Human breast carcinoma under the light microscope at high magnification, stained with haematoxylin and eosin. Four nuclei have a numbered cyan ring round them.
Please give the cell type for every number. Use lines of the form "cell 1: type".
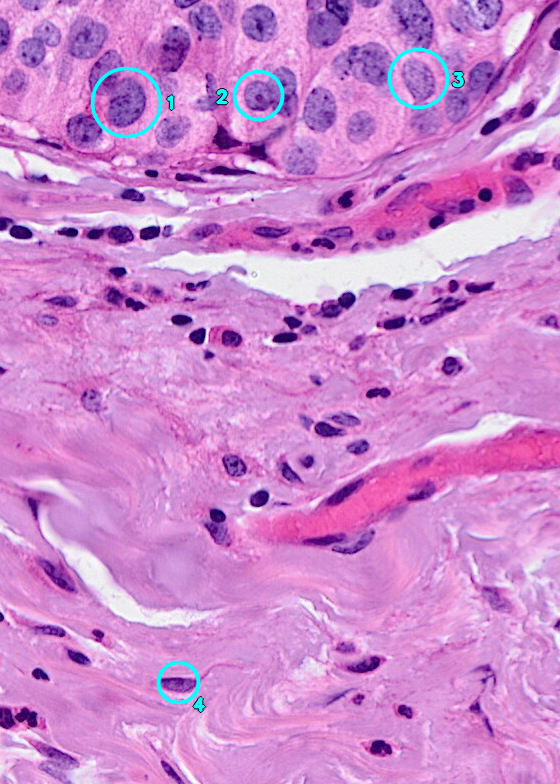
cell 1: carcinoma cell
cell 2: carcinoma cell
cell 3: carcinoma cell
cell 4: fibroblast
